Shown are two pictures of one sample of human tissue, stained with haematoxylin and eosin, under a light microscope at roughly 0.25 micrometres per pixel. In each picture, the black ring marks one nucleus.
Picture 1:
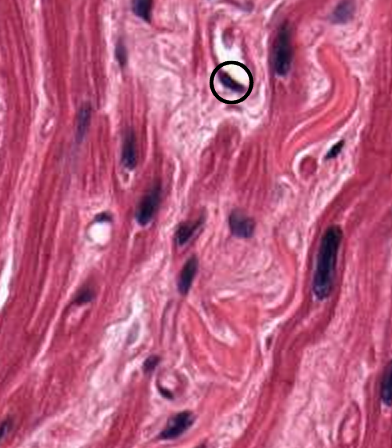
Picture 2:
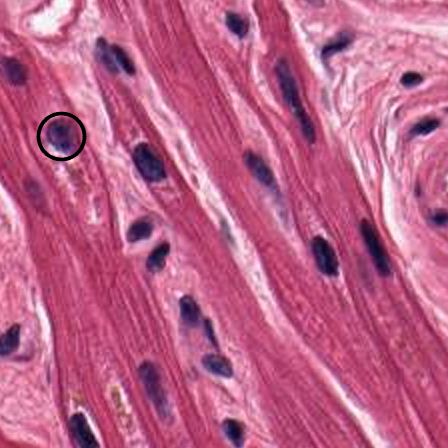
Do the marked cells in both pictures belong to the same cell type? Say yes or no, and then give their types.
No, the first is an endothelial cell and the second a cardiomyocyte.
